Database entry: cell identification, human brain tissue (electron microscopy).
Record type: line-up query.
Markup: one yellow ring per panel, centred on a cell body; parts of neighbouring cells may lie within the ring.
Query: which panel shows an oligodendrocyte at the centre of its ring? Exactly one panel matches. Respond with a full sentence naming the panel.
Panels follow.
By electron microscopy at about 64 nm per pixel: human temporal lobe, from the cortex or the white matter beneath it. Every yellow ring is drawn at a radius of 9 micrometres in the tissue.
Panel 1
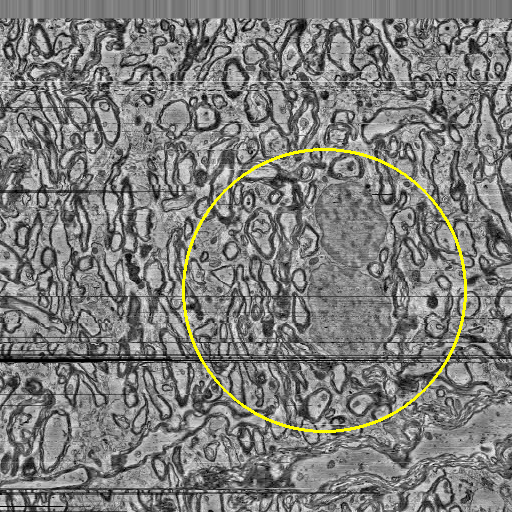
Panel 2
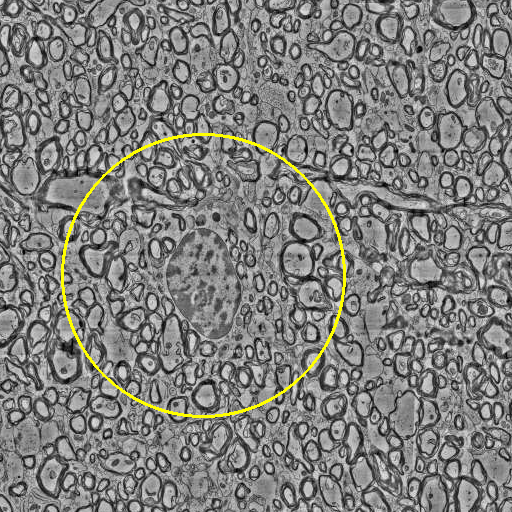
Panel 1 shows it at the centre of the ring.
